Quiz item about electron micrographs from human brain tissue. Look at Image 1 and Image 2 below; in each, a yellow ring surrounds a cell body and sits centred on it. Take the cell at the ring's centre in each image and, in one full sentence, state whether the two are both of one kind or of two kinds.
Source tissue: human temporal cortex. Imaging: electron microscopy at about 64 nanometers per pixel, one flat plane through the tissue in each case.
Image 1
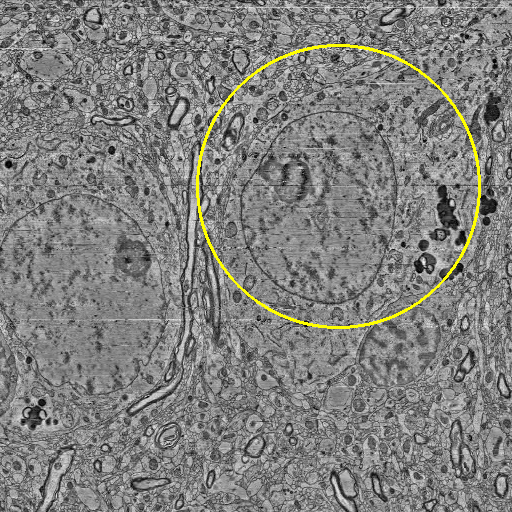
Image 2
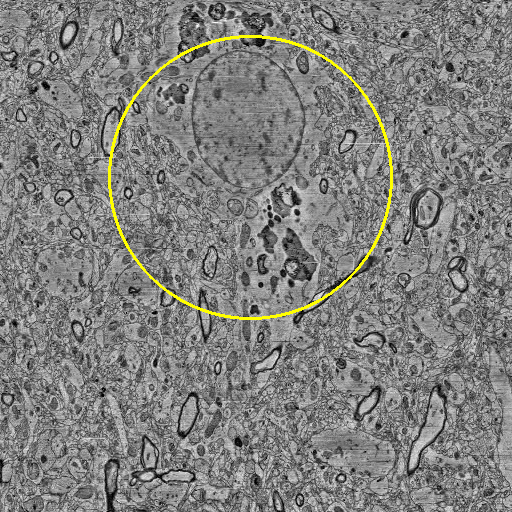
In Image 1 and Image 2, the cells at the ring centres are of two kinds.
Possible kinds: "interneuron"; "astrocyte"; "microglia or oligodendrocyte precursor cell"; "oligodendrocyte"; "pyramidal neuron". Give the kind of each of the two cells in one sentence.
The cell in the second picture is an astrocyte, and that in the first is a pyramidal neuron.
